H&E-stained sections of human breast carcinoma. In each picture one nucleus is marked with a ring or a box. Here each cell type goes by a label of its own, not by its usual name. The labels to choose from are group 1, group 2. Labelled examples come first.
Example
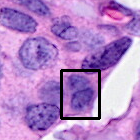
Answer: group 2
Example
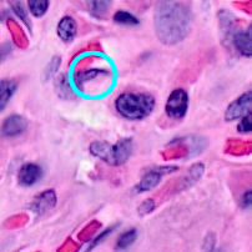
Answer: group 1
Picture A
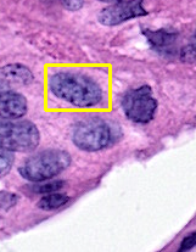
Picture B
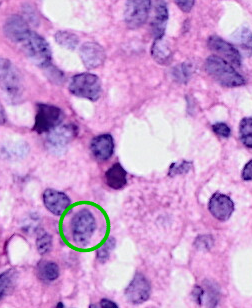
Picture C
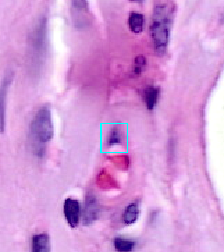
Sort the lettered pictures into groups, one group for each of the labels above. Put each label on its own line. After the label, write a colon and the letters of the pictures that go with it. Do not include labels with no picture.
group 1: C
group 2: A, B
